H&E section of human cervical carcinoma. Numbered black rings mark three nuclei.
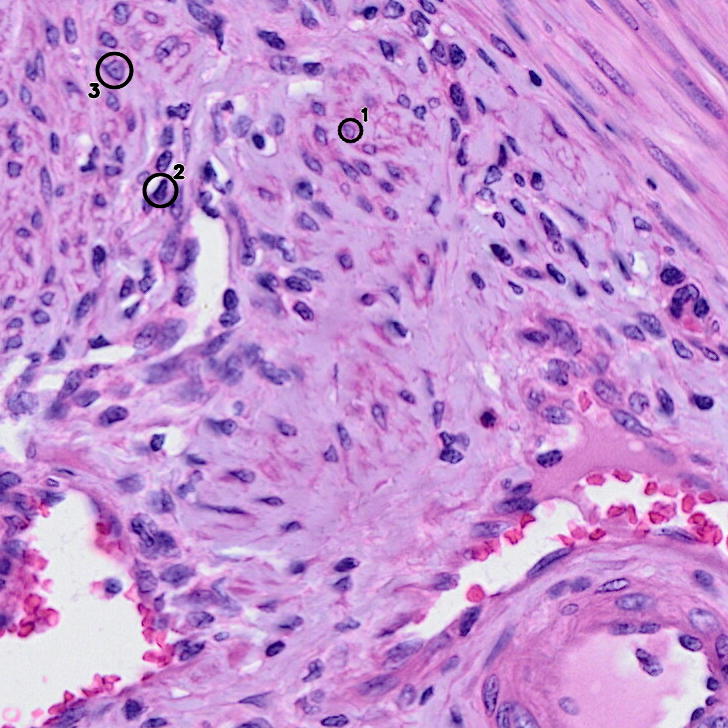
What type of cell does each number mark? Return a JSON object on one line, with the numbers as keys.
{"1": "smooth muscle cell", "2": "lymphocyte", "3": "smooth muscle cell"}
